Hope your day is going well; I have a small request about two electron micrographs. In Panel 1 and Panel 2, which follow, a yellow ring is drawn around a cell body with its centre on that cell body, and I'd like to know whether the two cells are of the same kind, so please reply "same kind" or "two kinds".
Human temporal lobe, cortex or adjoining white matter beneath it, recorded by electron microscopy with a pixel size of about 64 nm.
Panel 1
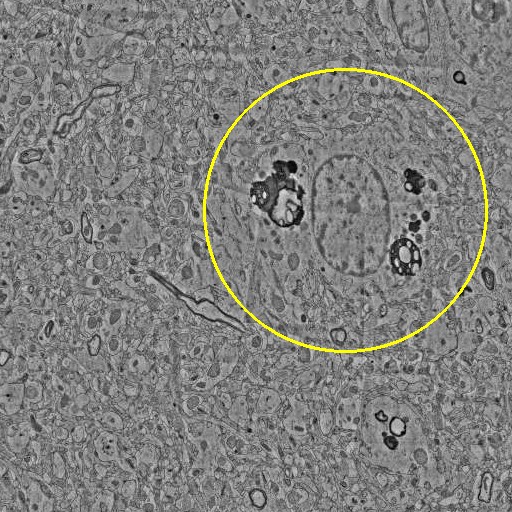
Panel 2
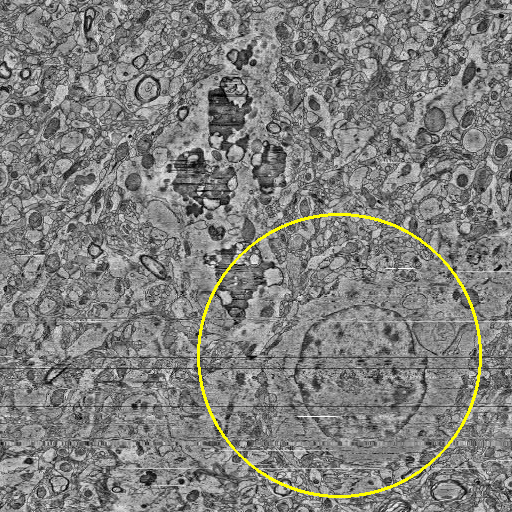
same kind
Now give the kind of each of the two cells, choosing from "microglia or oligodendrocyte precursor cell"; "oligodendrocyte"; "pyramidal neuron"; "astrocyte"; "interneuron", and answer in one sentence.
The cell at the ring centre is an astrocyte in both pictures.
